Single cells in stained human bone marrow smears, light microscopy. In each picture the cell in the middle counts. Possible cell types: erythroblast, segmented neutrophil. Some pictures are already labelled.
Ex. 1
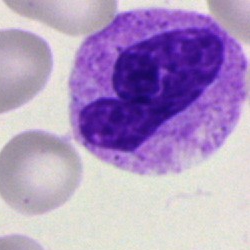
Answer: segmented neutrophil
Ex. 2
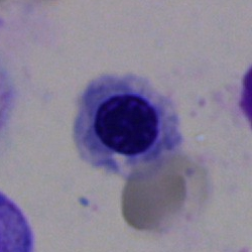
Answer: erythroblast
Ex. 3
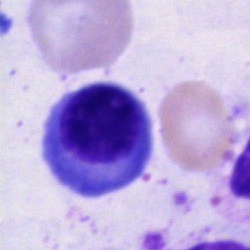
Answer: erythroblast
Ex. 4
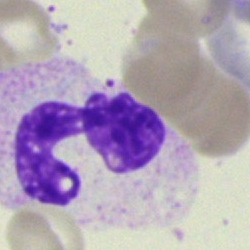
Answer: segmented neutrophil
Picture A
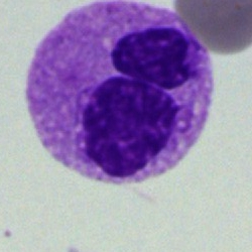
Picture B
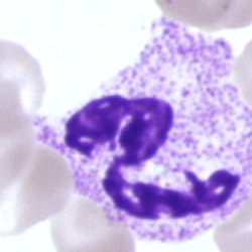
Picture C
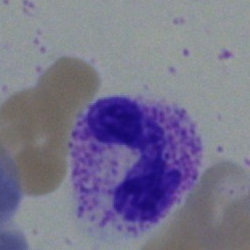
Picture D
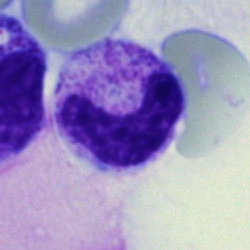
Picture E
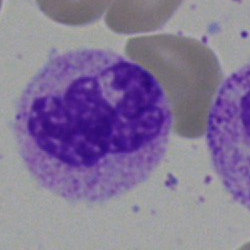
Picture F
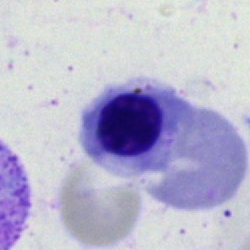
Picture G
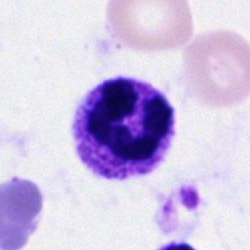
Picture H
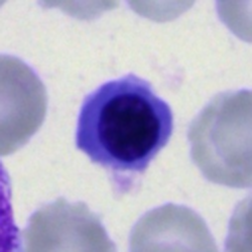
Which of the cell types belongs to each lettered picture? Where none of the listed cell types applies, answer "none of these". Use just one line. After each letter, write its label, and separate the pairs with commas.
A segmented neutrophil, B segmented neutrophil, C none of these, D none of these, E segmented neutrophil, F erythroblast, G segmented neutrophil, H erythroblast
